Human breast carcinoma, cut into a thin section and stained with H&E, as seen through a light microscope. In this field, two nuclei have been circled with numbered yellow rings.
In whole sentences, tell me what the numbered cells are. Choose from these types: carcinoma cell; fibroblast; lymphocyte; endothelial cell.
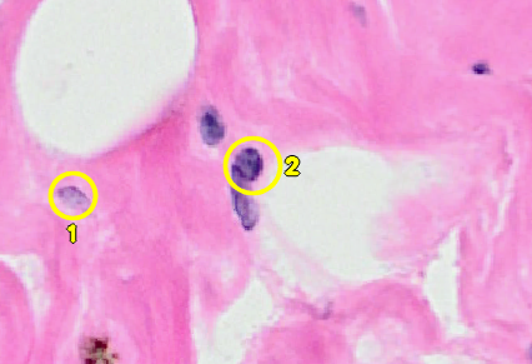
Cell 1 is a fibroblast and cell 2 is a lymphocyte.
